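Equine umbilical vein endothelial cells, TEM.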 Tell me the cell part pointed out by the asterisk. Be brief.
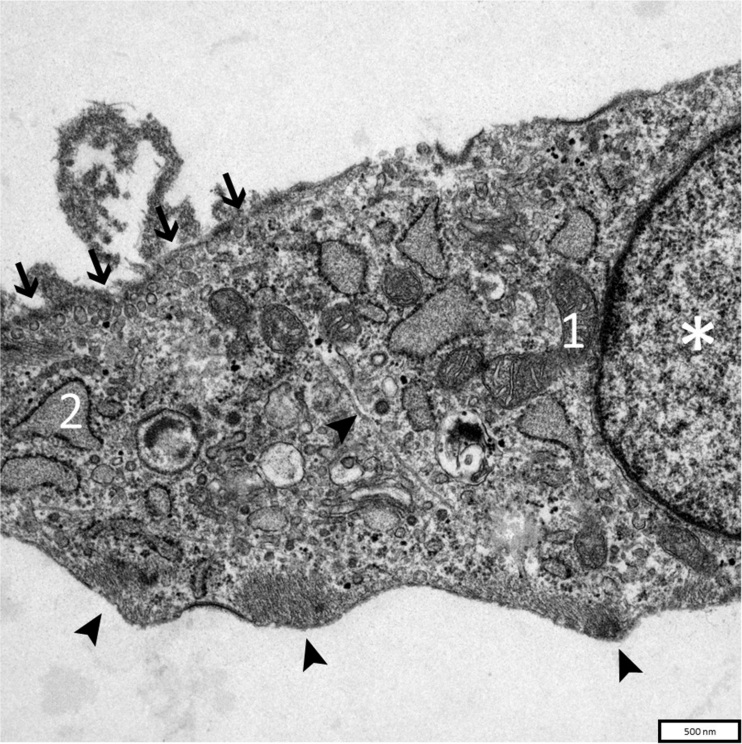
Nuclei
